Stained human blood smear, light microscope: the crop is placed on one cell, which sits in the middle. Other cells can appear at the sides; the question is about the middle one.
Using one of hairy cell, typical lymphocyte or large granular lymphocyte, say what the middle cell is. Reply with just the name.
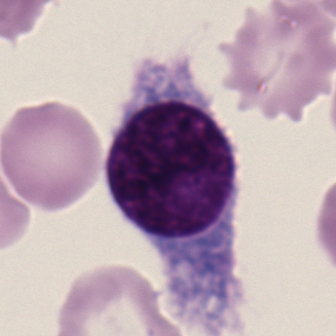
hairy cell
